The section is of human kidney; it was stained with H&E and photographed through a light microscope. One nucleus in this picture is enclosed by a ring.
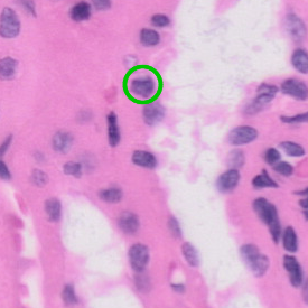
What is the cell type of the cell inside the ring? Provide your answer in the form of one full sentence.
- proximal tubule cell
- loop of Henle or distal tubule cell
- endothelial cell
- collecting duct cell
In terms of identity, the cell inside the ring is a loop of Henle or distal tubule cell.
